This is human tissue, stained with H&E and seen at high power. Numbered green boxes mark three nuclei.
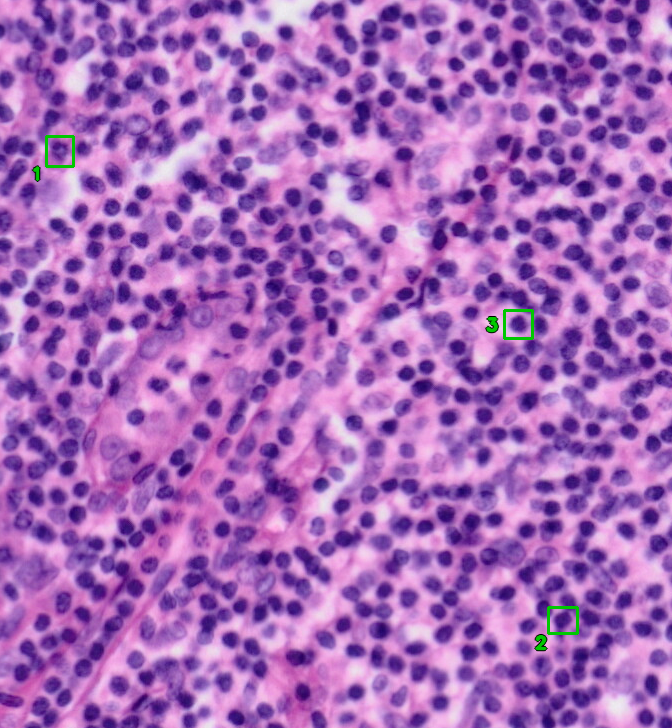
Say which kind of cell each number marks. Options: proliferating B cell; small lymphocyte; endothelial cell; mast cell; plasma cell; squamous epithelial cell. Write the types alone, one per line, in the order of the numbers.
plasma cell
small lymphocyte
small lymphocyte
